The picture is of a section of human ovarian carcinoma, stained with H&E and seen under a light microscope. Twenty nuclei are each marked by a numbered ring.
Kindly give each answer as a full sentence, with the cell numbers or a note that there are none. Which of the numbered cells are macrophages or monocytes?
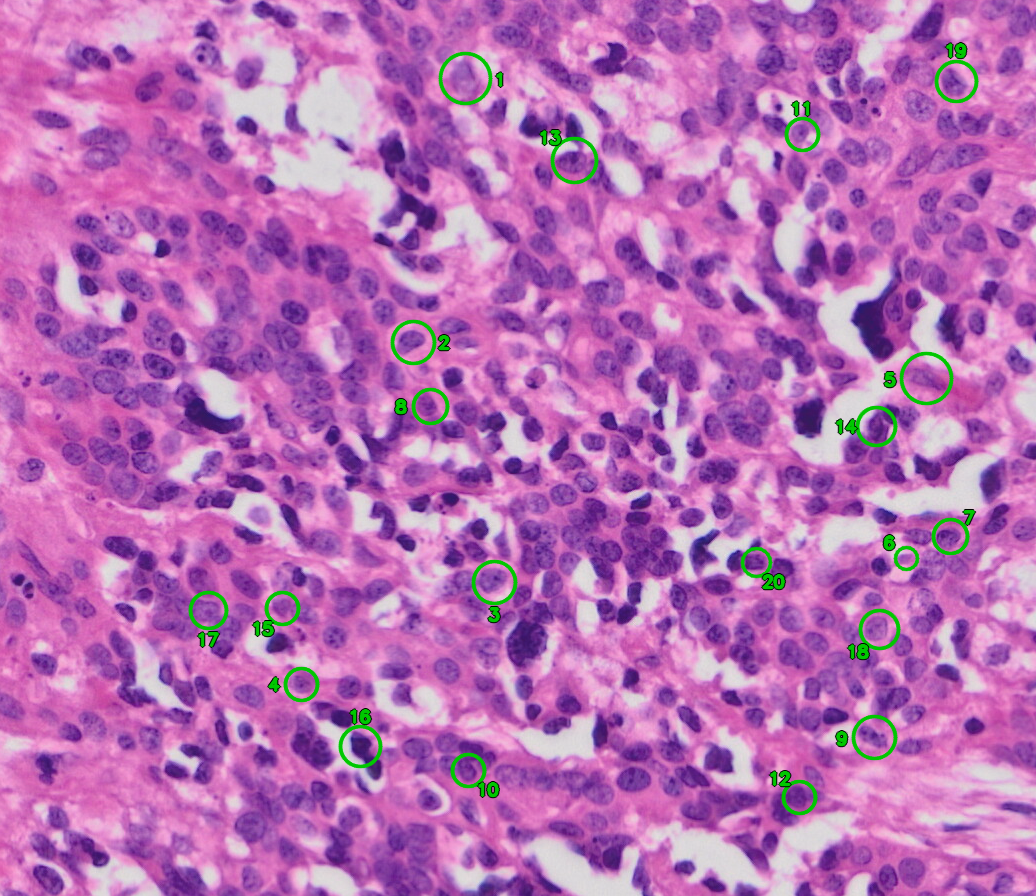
Classified as macrophages or monocytes are the cells numbered 2, 3, 4, 6, 7, 9, 18 and 20.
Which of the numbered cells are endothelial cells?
Within the set of numbered cells, only number 5 is an endothelial cell.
